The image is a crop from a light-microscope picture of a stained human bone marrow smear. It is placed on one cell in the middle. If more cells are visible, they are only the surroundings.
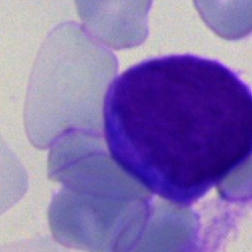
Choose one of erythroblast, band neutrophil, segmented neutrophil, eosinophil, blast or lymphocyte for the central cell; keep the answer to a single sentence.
The middle position in this crop is taken by a blast.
